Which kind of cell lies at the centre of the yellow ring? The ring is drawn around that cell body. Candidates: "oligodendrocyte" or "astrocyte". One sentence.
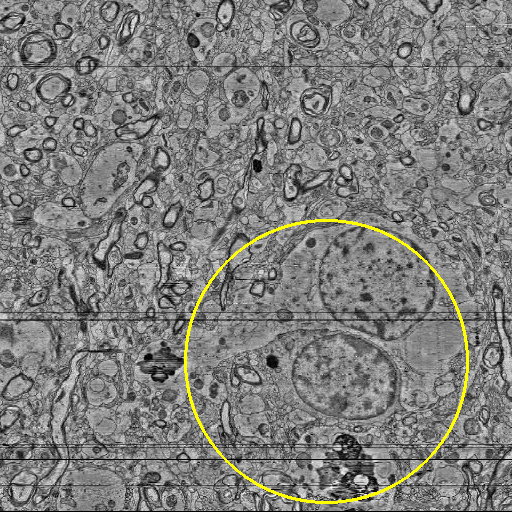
Lying at the centre of the ring is an oligodendrocyte.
